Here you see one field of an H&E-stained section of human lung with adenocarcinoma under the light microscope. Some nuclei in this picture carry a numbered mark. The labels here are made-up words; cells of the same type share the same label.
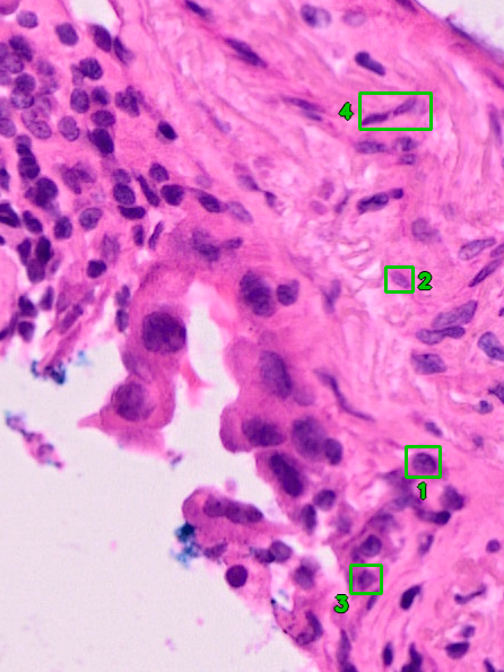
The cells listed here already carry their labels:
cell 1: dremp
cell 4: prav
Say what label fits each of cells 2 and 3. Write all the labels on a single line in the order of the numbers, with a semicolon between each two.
prav; dremp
